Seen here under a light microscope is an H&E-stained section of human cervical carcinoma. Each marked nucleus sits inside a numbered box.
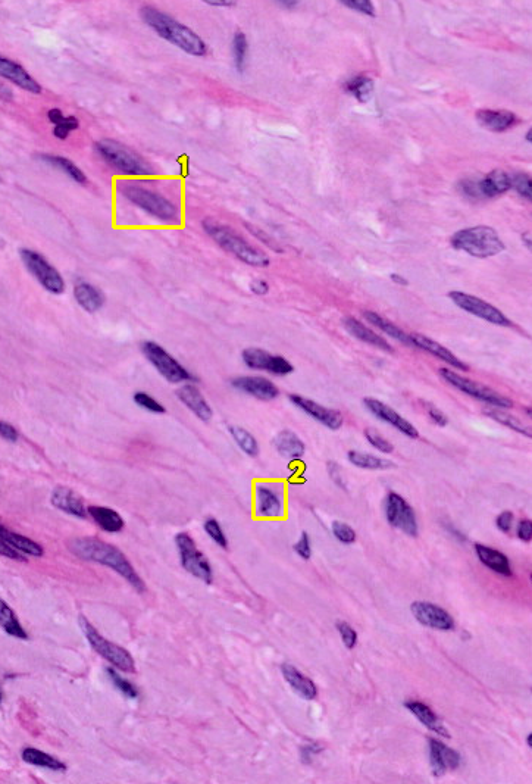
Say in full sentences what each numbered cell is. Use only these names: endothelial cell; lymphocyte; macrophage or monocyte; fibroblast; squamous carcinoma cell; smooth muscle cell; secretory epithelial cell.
Cell 1 is an endothelial cell and cell 2 is a fibroblast.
